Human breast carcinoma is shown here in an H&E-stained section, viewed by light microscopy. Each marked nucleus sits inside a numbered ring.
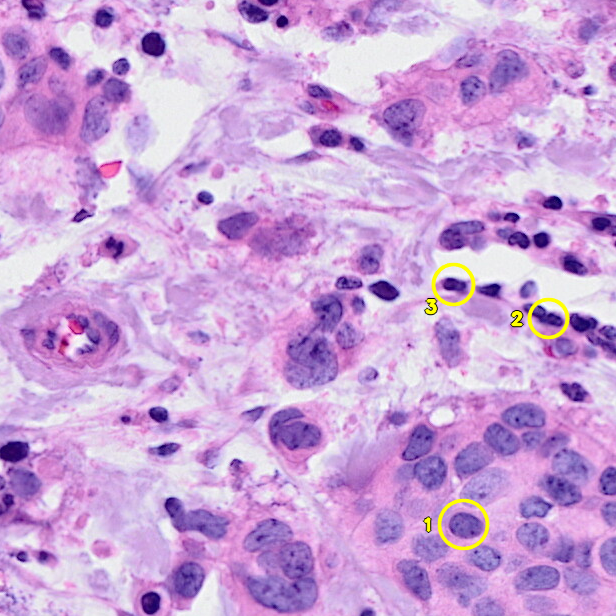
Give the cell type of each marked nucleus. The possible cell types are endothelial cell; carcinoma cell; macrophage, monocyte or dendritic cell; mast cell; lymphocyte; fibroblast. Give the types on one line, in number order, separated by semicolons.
carcinoma cell; lymphocyte; lymphocyte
